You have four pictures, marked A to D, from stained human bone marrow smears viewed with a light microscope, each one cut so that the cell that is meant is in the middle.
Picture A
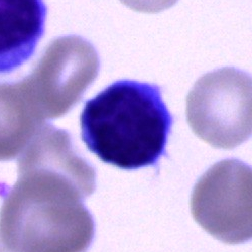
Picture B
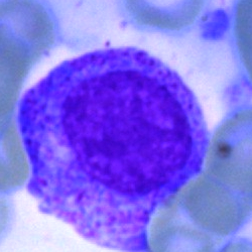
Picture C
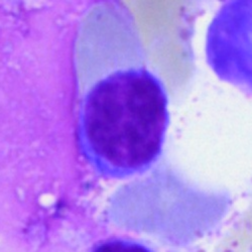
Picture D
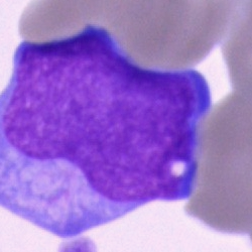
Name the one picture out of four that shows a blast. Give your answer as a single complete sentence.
The blast is the one in picture D.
